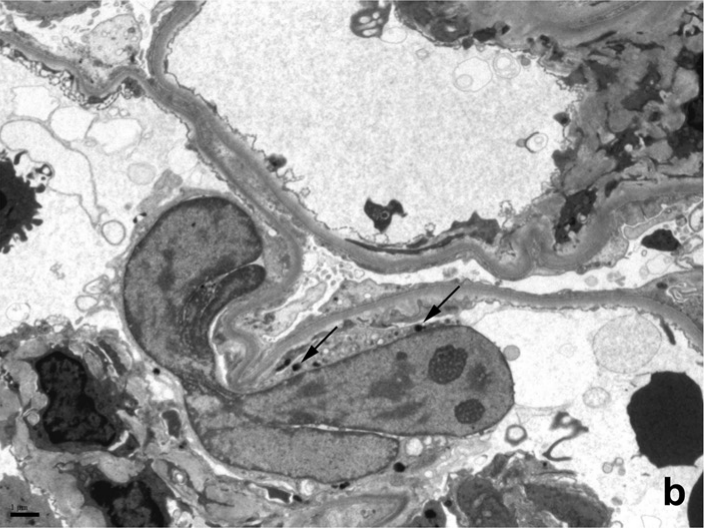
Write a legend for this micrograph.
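Glomerular capillary loops with a large intracapillary cell whose nucleus is folded into several lobes, with a thin rim of cytoplasm holding small dense granules. The capillary walls show a continuous basement membrane, and a wide pale capillary lumen lies above.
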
